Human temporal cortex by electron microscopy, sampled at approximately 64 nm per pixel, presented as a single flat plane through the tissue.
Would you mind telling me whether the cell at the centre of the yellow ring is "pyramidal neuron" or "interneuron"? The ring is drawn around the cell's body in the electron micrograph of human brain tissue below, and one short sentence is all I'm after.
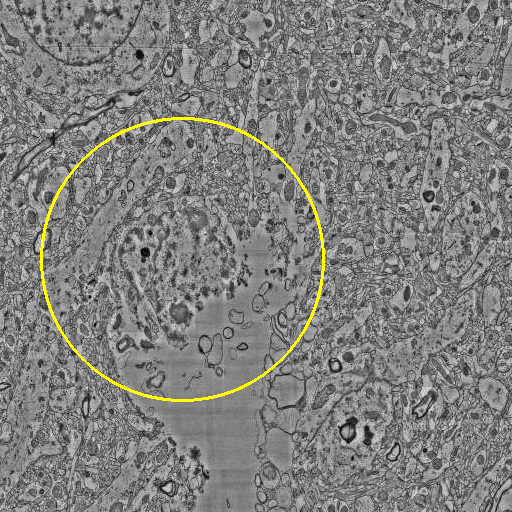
In the centre of the ring lies an interneuron.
